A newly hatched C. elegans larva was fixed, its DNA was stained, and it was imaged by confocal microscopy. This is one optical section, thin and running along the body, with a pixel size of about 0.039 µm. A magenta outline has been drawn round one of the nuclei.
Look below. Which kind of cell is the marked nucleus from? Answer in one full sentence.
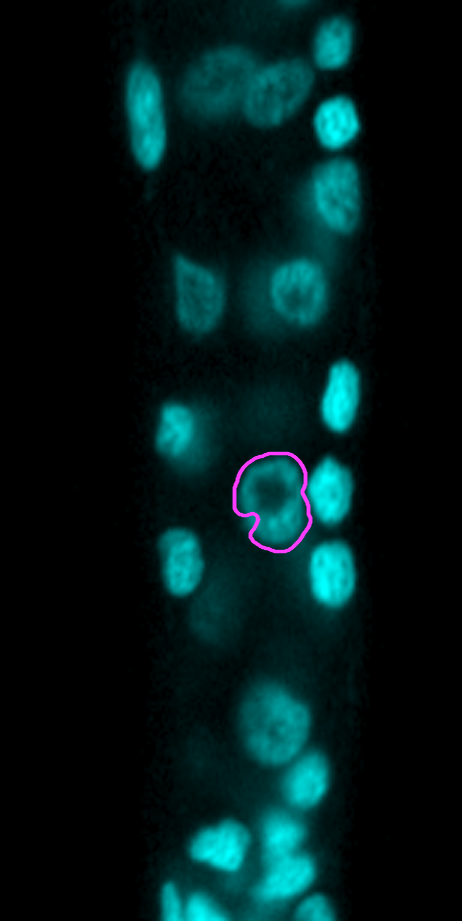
The cell with the marked nucleus is an intestinal cell.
